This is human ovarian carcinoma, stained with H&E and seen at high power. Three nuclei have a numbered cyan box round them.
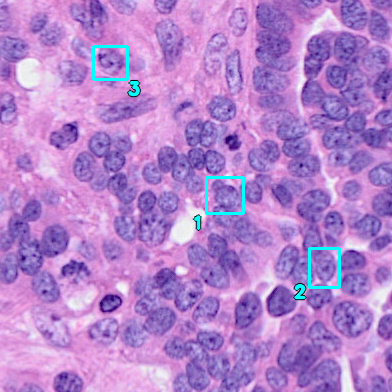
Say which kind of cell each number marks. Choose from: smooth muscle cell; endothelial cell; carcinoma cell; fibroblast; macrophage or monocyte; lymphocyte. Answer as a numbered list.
1. carcinoma cell
2. carcinoma cell
3. fibroblast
